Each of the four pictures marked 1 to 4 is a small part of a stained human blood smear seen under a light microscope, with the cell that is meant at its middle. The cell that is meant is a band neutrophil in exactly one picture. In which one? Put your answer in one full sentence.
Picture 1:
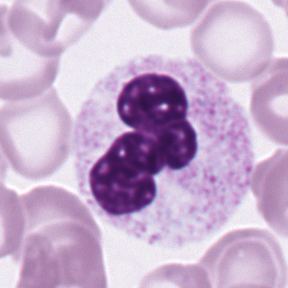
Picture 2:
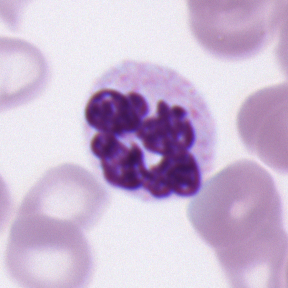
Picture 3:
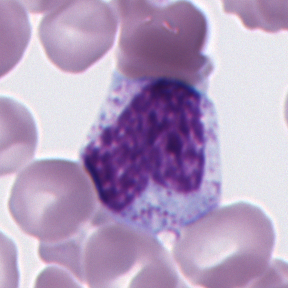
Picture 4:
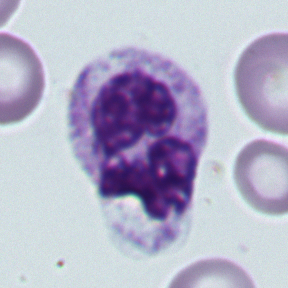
Picture 3 shows the band neutrophil.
